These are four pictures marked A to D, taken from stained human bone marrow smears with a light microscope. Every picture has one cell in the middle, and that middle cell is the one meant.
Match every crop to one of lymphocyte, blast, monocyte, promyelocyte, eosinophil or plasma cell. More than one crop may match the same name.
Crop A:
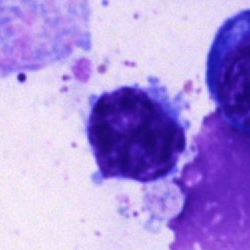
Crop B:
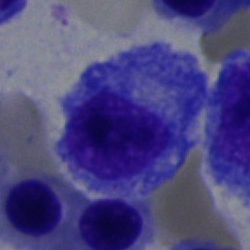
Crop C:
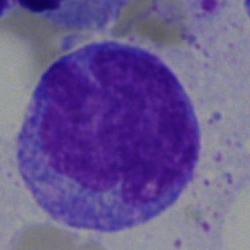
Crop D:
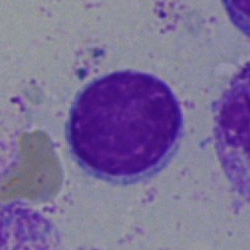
A: lymphocyte
B: plasma cell
C: monocyte
D: lymphocyte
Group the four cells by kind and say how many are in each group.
lymphocyte: 2
plasma cell: 1
monocyte: 1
